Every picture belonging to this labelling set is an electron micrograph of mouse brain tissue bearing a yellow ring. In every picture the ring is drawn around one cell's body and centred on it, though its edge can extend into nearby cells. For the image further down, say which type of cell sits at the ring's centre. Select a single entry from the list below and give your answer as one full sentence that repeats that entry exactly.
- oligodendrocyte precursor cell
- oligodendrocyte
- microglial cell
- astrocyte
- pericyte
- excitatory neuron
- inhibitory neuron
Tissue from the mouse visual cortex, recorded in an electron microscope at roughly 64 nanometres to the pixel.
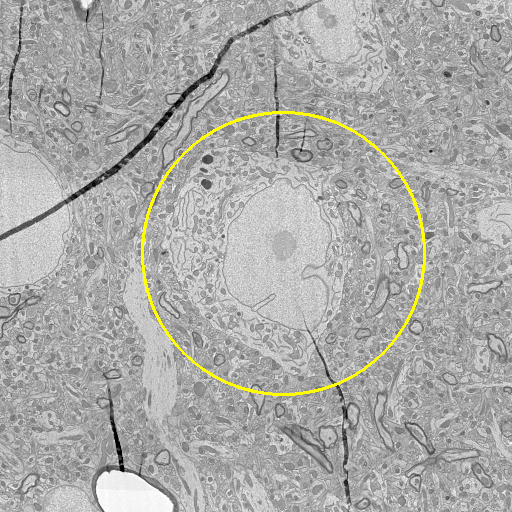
In the picture, an inhibitory neuron is the cell at the centre of the yellow ring.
